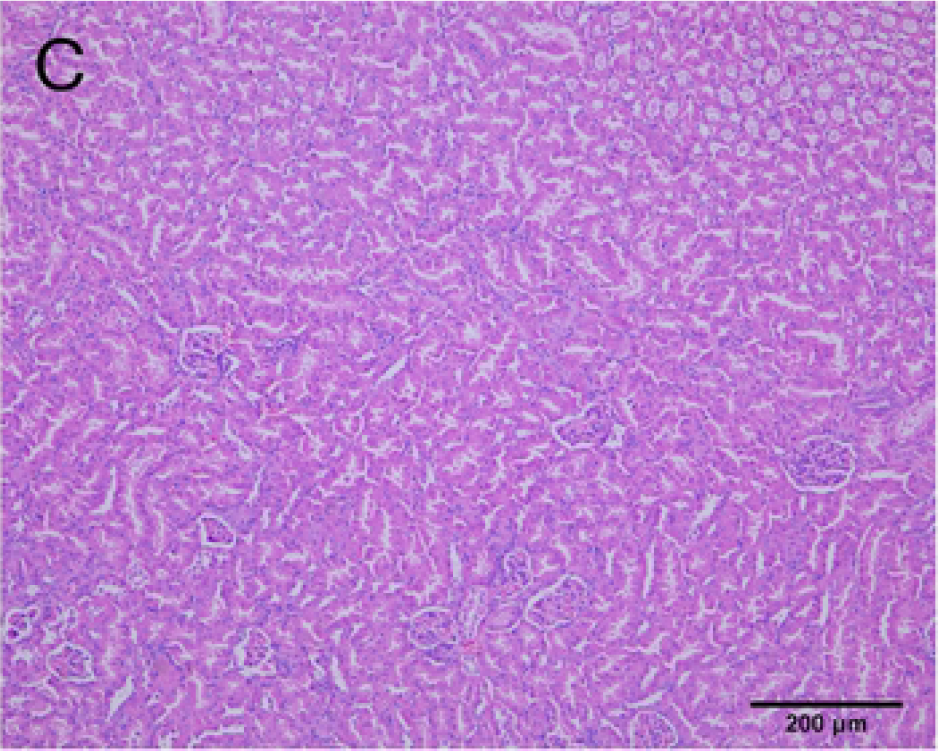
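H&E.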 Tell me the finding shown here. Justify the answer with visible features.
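Dilation of the renal tubular lumen. Throughout the cortex the tubules show open, white, slit-like lumens. The open lumens are widespread across the whole field.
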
